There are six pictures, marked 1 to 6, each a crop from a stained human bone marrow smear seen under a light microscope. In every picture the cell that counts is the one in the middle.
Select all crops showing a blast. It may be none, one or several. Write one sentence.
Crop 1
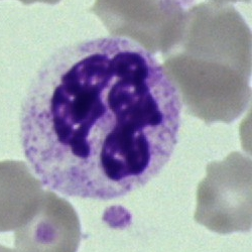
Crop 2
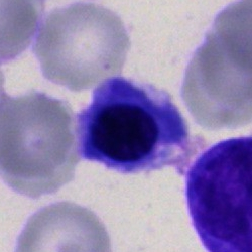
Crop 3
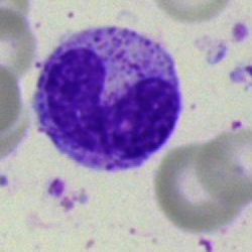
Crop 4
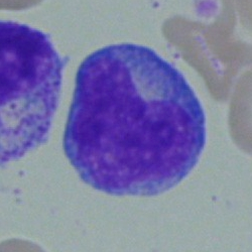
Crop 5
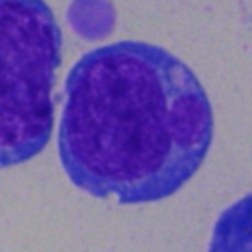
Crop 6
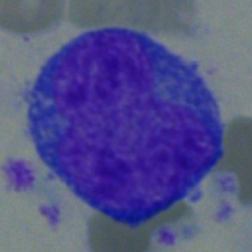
The cells centred in crops 4, 5 and 6 are blasts.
